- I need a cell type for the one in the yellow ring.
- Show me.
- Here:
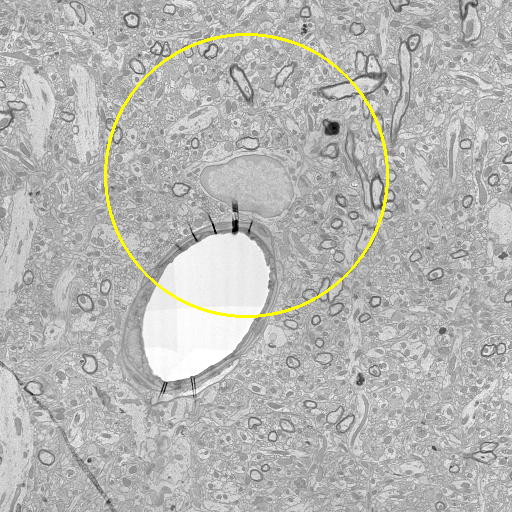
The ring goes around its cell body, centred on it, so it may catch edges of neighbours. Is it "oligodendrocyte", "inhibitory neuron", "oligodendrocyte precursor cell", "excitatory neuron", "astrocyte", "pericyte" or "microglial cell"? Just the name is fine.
microglial cell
